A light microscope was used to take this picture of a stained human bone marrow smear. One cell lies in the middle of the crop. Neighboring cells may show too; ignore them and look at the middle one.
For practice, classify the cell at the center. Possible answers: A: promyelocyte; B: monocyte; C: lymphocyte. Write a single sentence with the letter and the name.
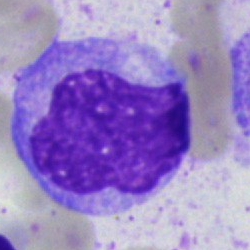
Option B holds up: the cell in the middle is a monocyte.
